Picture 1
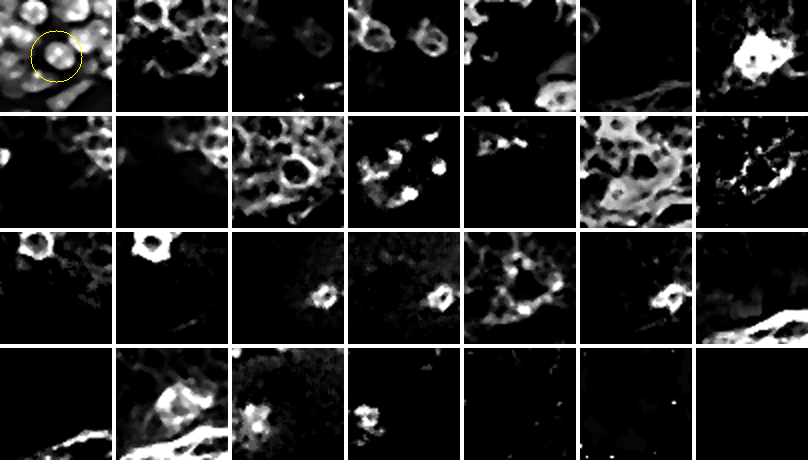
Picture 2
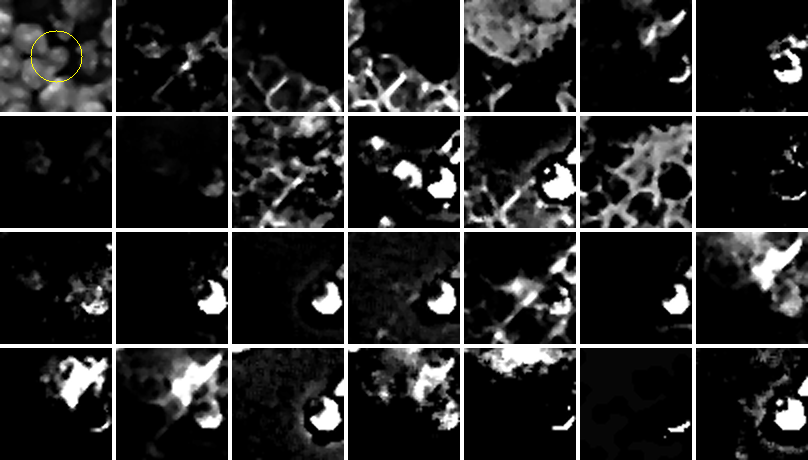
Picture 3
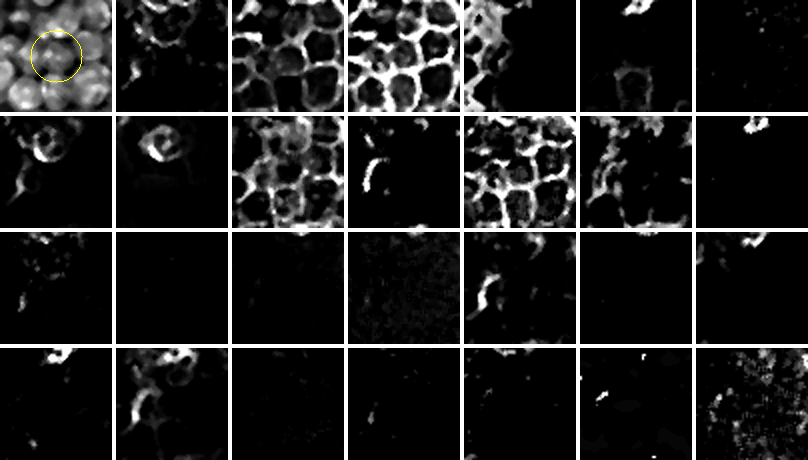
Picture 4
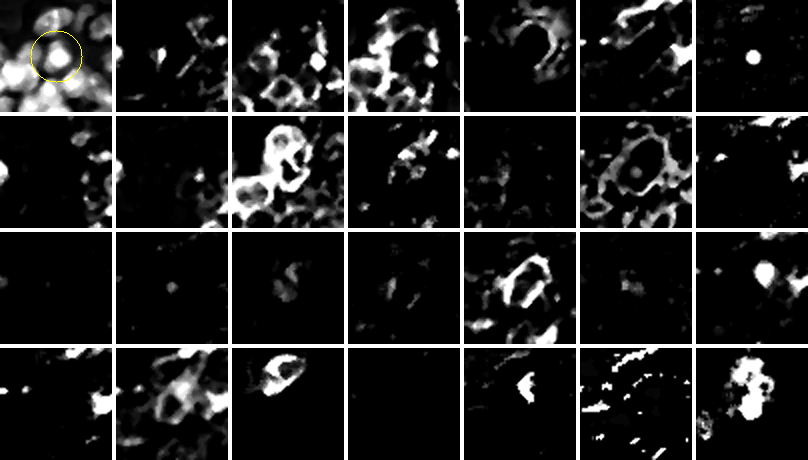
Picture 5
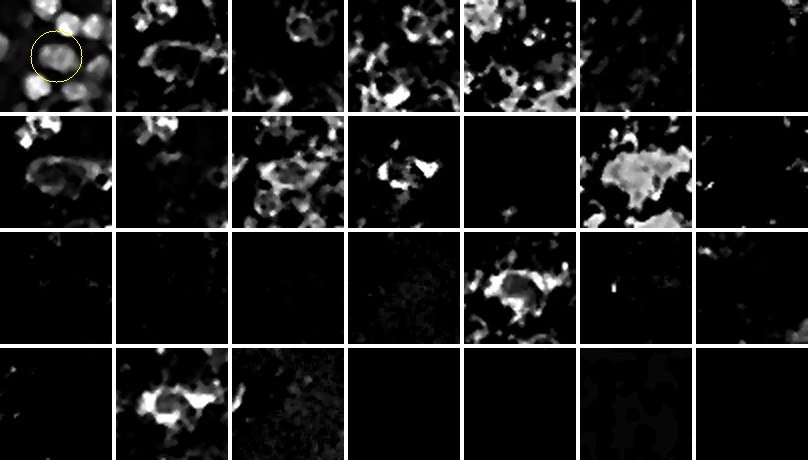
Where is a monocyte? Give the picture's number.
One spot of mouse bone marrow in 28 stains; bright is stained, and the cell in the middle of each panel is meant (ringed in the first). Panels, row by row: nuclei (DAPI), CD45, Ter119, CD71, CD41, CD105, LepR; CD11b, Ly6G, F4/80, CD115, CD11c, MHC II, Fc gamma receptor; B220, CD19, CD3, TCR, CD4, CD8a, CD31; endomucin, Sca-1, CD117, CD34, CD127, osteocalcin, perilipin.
5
